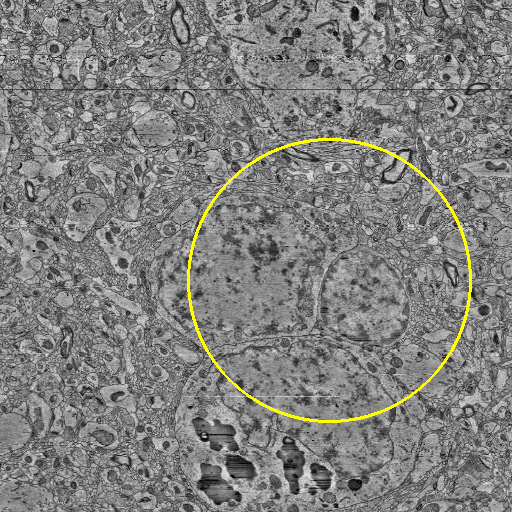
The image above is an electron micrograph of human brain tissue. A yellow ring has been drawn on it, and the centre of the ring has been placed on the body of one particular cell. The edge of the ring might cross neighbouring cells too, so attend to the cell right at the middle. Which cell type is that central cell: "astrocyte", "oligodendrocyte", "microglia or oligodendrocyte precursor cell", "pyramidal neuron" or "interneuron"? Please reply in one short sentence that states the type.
The central cell in the ring is an oligodendrocyte.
